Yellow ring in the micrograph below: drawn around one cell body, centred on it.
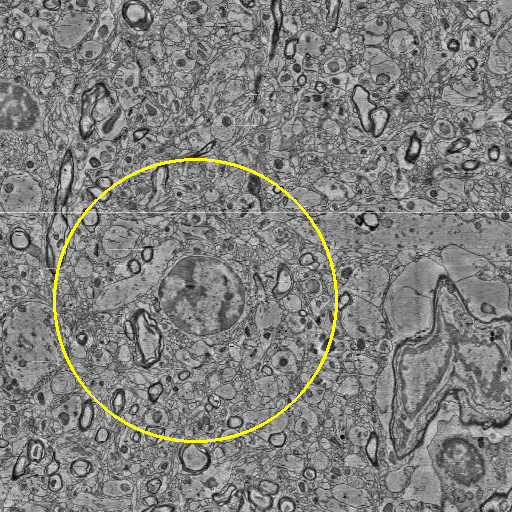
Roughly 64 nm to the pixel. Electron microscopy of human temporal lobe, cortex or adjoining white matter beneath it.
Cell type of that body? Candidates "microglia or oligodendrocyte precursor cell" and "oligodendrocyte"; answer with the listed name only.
microglia or oligodendrocyte precursor cell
